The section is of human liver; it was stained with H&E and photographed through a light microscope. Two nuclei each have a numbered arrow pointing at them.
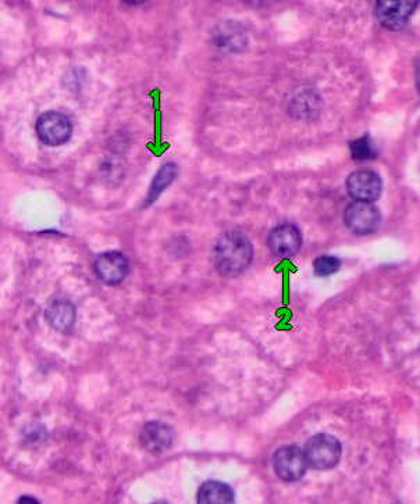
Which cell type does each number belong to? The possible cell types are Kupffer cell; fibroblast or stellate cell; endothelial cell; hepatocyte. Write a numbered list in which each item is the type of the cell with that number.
1. Kupffer cell
2. hepatocyte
